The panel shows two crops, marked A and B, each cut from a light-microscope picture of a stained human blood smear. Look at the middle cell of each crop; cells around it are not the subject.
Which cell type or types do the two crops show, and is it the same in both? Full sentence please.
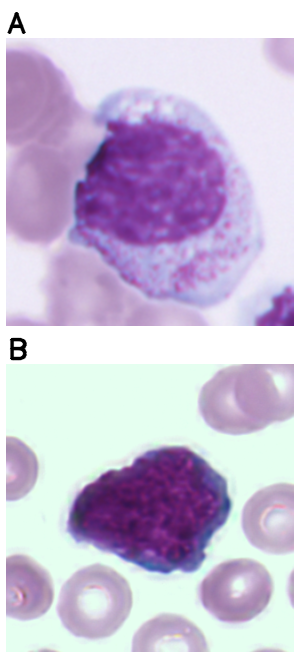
No, crop A and crop B show a myelocyte and an atypical promyelocyte respectively.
